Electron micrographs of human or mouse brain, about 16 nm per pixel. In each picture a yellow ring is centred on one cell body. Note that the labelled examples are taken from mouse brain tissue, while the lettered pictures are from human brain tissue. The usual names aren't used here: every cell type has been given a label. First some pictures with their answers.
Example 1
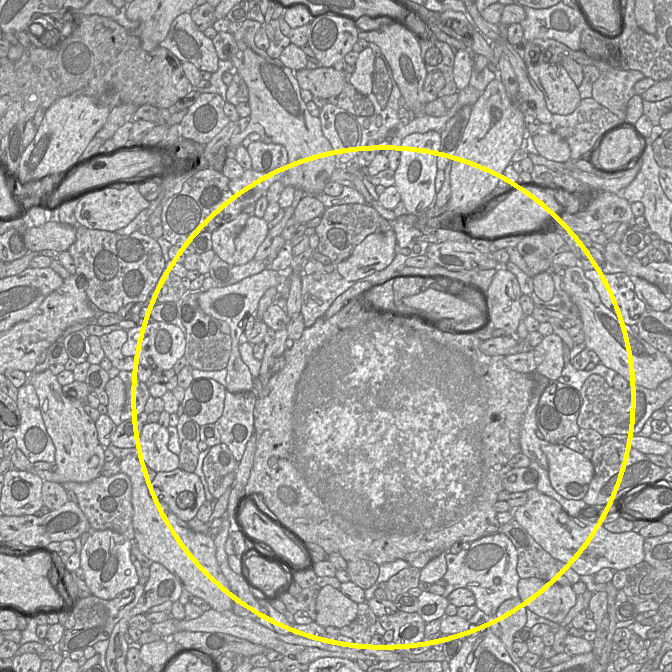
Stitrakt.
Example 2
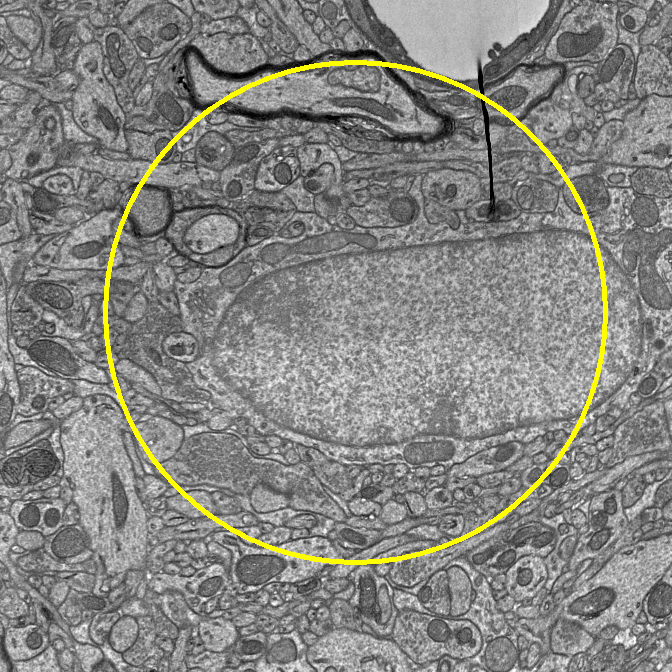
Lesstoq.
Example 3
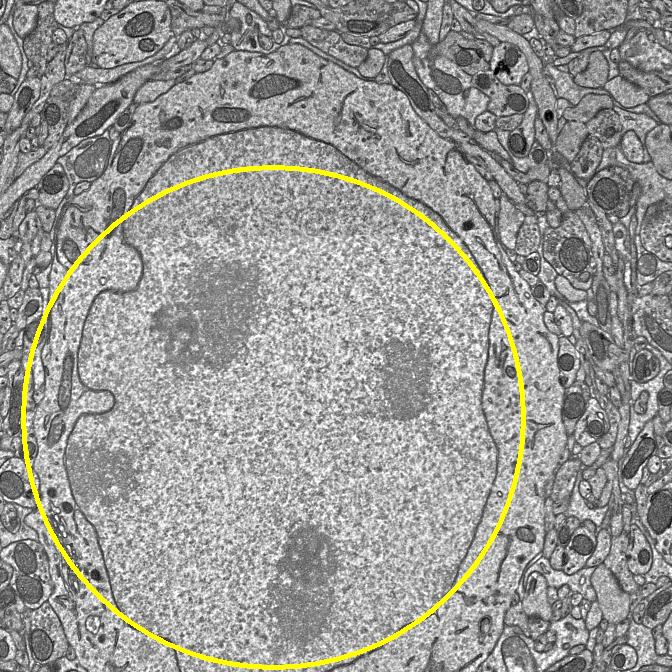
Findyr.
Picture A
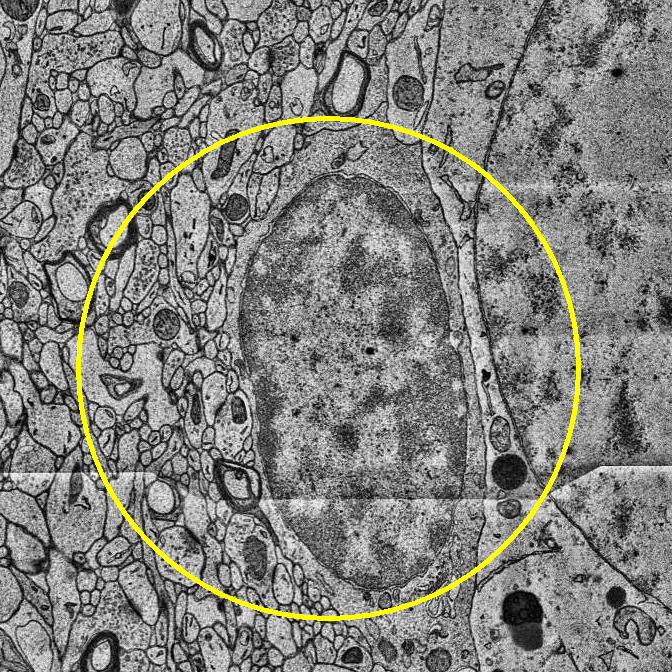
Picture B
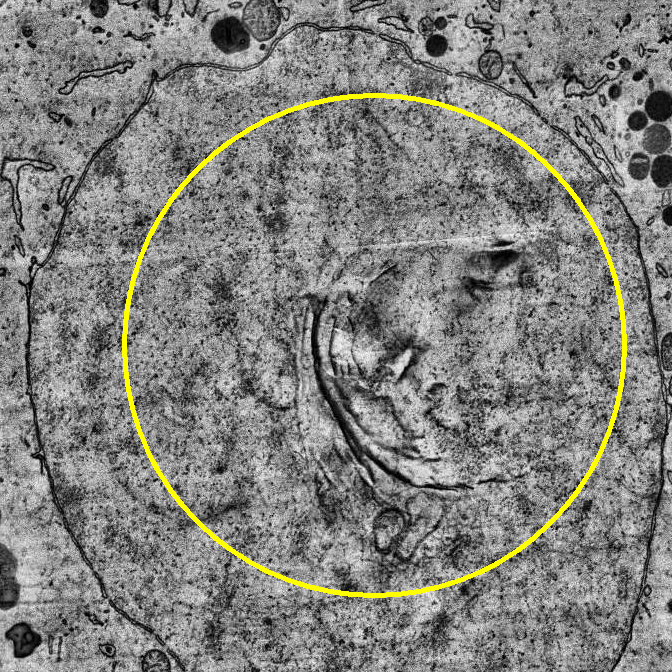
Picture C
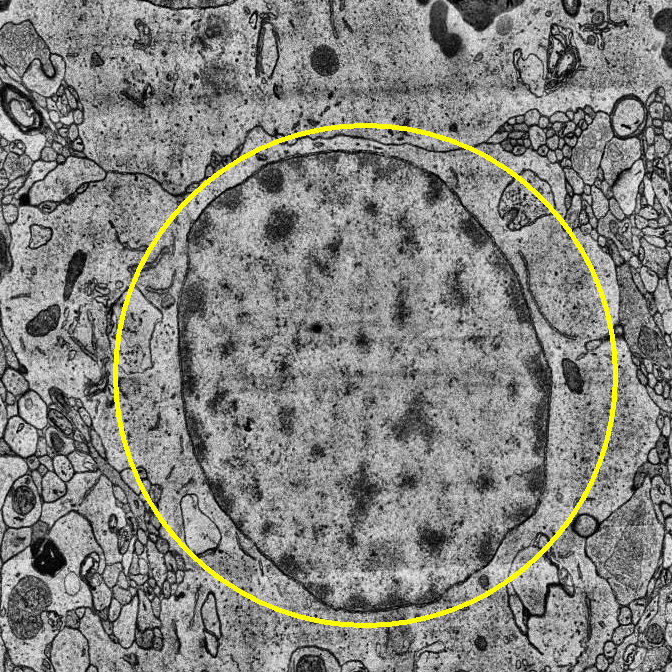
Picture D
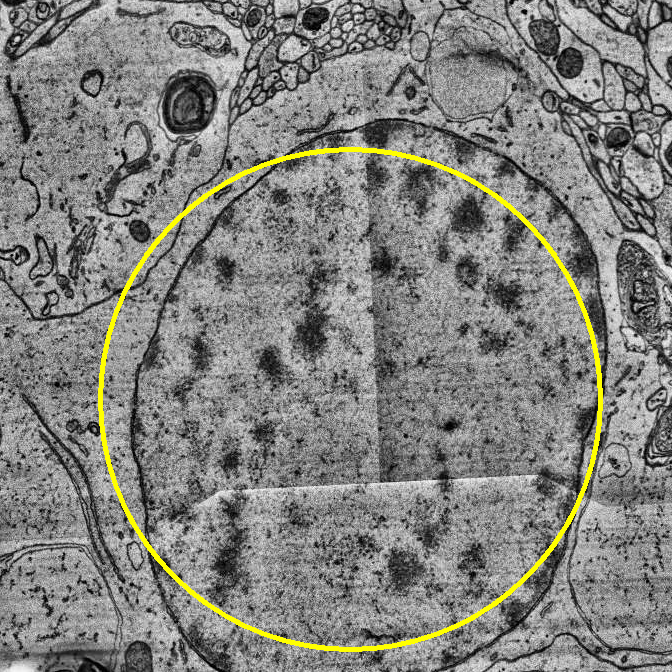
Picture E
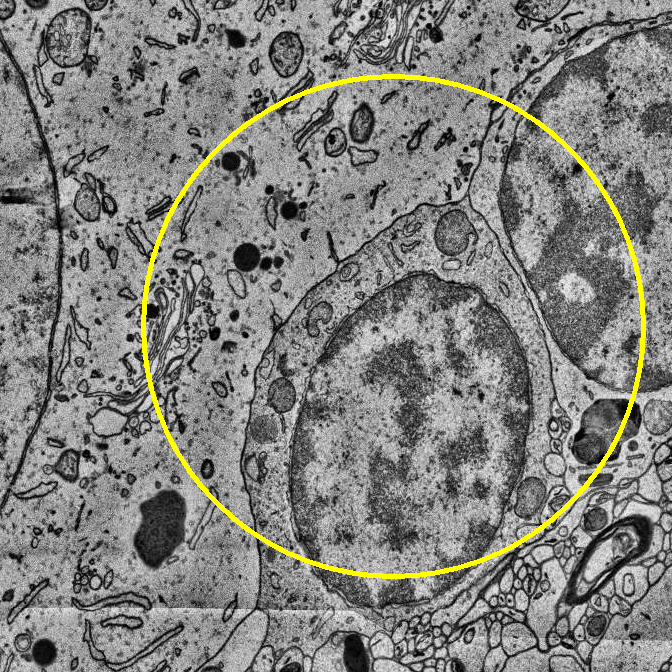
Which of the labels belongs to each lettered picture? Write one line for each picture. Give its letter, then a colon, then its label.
A: Stitrakt.
B: Findyr.
C: Lesstoq.
D: Lesstoq.
E: Stitrakt.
